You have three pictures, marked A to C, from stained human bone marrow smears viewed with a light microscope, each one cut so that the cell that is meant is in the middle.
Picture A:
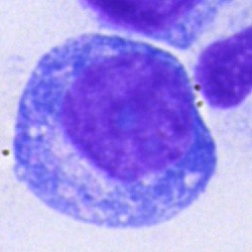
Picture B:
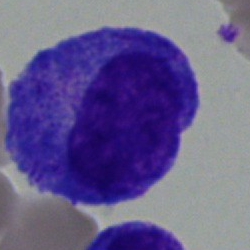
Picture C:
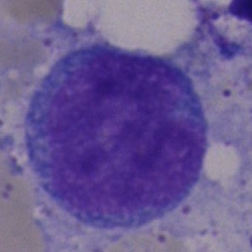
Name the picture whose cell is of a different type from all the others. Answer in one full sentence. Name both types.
Picture C is the odd one out: it shows a proerythroblast, while the others show promyelocytes.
